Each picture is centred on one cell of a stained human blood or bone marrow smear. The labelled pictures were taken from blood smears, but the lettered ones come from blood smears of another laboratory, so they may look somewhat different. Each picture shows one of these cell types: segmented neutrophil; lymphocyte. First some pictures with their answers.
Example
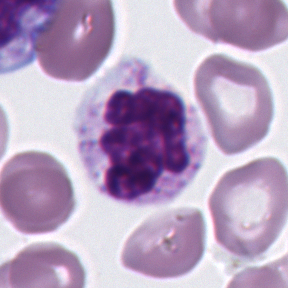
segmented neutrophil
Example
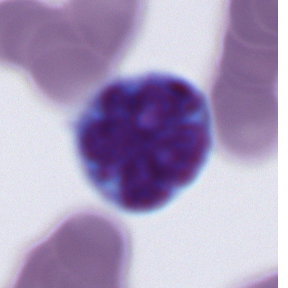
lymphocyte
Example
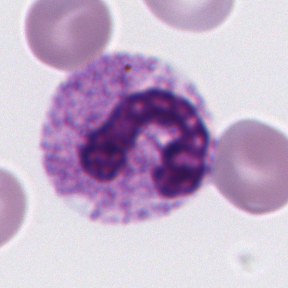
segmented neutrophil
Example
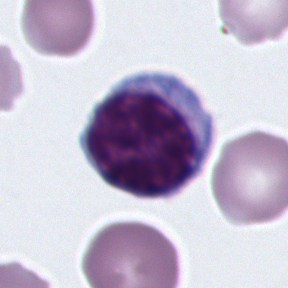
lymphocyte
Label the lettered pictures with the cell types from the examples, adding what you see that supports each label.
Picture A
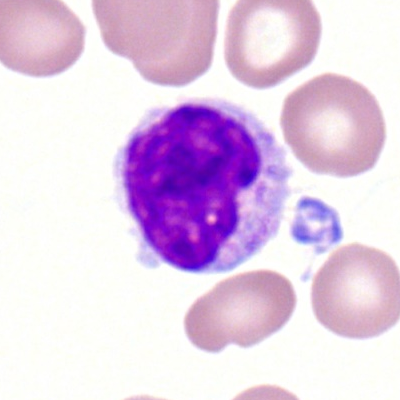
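lymphocyte. Evidence: The nucleus is indented on its right side, giving it a kidney-like shape.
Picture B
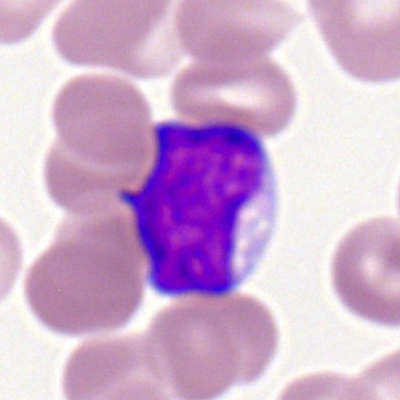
lymphocyte. Evidence: The nucleus fills most of the cell.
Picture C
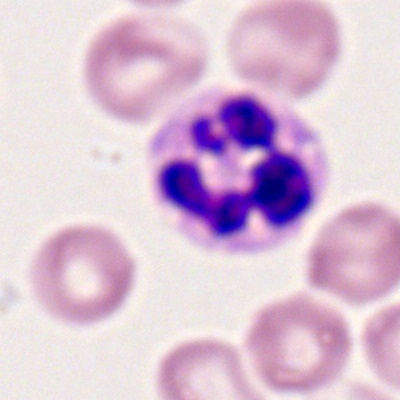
segmented neutrophil. Evidence: The nucleus is divided into several separate lobes.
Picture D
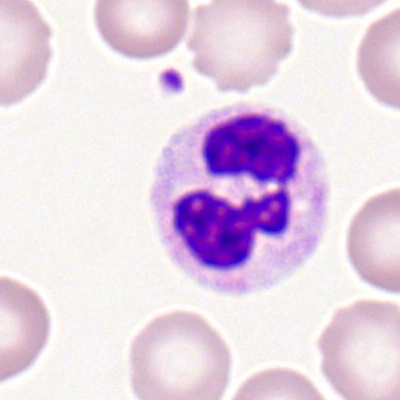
segmented neutrophil. Evidence: The nucleus is divided into two lobes.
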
